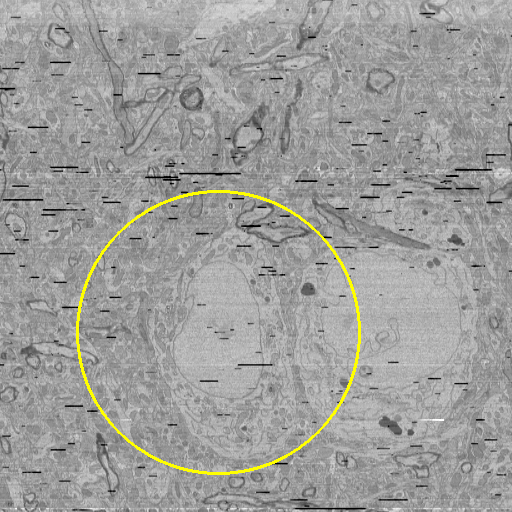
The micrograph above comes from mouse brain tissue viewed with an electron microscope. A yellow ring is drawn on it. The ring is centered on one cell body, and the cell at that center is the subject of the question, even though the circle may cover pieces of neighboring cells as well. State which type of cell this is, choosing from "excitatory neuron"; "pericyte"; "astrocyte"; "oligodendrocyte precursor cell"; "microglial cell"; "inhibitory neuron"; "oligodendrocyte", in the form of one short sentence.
The cell the ring is centered on is an inhibitory neuron.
